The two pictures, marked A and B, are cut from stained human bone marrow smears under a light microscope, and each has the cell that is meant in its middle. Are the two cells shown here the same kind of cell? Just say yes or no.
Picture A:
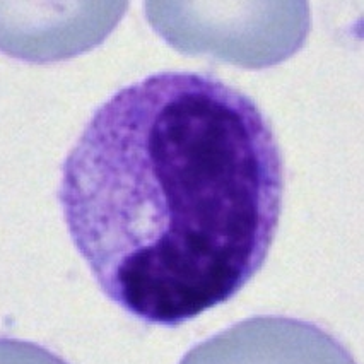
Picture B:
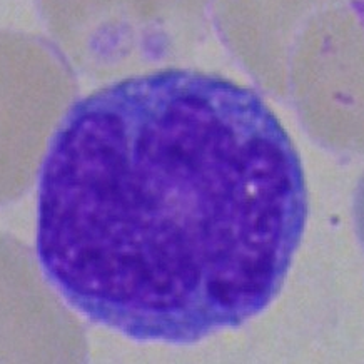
no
